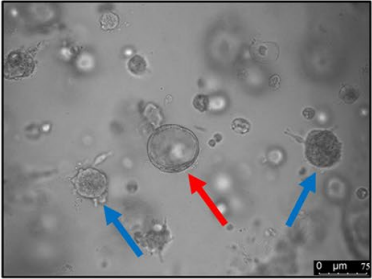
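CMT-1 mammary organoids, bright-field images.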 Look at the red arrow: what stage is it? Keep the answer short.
Cystic.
